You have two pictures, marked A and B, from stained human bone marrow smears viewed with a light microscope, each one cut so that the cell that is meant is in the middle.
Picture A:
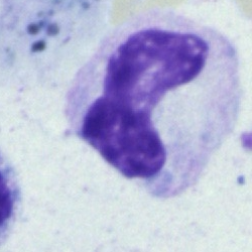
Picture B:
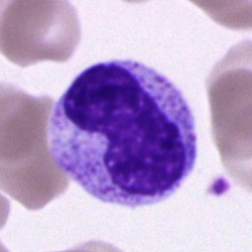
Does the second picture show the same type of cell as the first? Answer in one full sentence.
No. Picture A shows a band neutrophil, but picture B shows a metamyelocyte.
